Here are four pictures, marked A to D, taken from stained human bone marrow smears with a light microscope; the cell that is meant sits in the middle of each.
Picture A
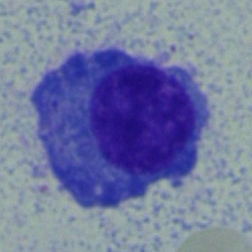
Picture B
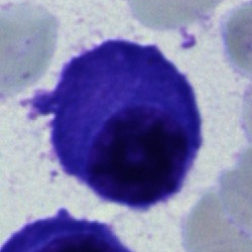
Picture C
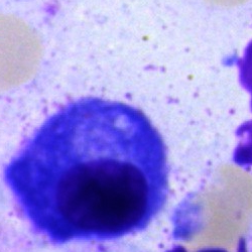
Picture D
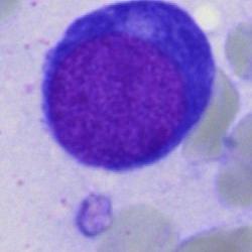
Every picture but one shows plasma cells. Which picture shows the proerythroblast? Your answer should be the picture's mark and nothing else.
D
